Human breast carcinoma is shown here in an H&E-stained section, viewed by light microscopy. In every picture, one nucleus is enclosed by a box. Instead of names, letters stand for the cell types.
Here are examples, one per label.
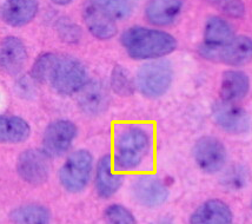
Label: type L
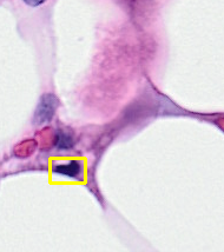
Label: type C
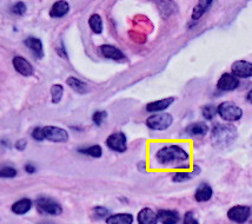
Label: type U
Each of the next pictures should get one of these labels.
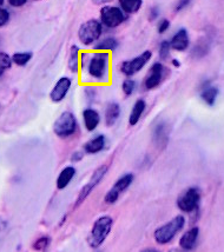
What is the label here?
type U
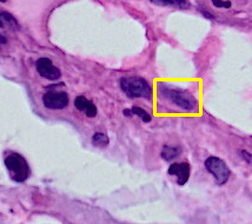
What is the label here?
type C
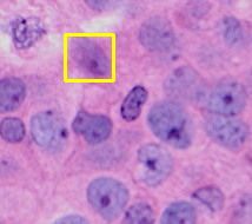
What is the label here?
type L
